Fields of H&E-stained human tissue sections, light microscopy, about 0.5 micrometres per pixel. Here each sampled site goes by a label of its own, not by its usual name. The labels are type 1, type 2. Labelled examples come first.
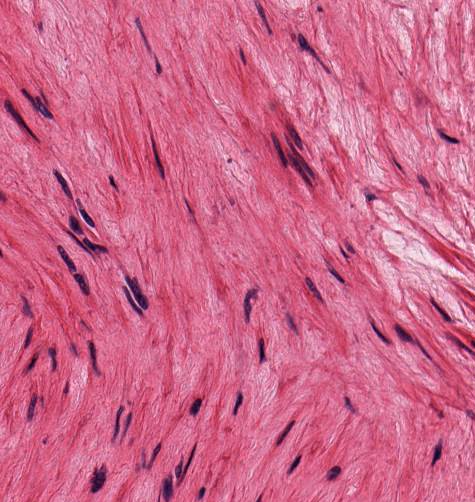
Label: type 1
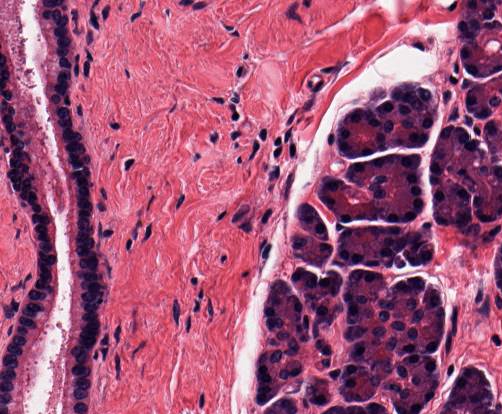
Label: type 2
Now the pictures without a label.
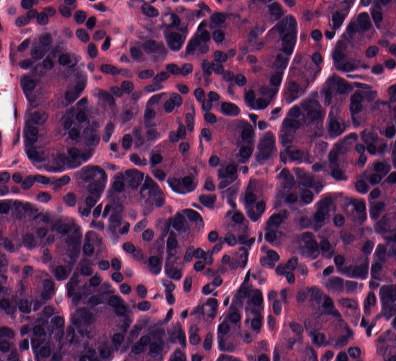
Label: type 2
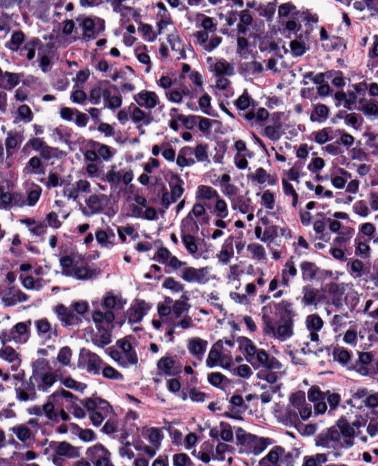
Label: type 2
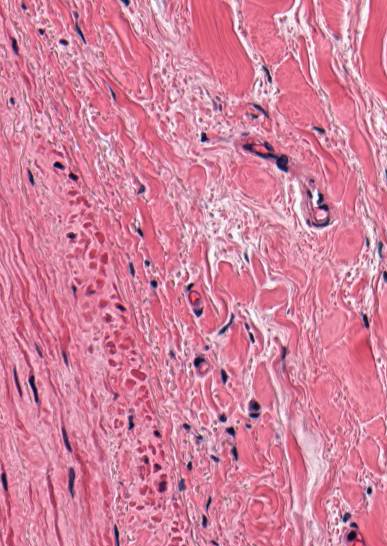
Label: type 1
